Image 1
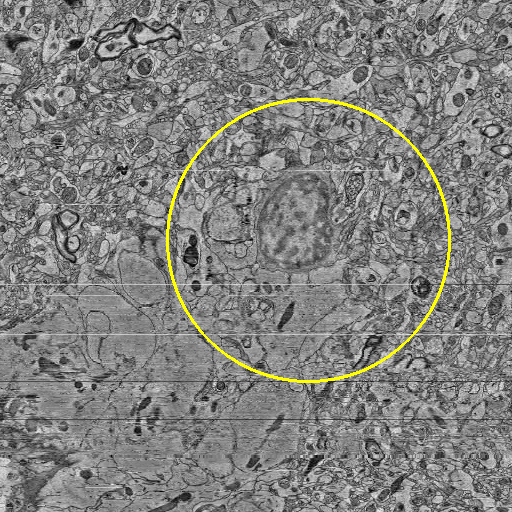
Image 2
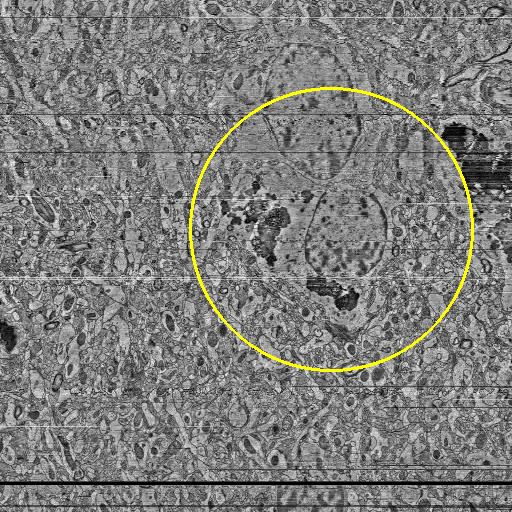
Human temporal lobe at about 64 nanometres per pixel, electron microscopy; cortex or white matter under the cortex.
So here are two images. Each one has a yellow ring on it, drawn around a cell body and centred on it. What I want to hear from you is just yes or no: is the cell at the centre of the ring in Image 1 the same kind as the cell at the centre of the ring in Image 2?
no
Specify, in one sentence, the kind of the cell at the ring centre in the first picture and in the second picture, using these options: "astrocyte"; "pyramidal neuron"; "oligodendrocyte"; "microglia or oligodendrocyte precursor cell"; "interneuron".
So the first is an oligodendrocyte, the second an astrocyte.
